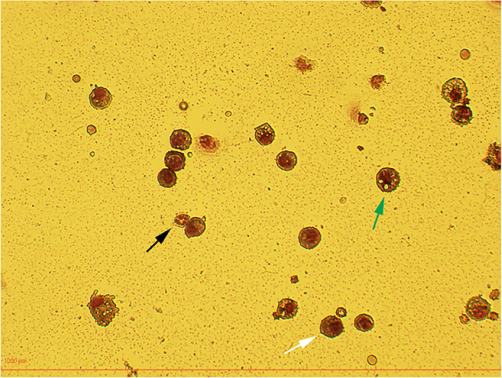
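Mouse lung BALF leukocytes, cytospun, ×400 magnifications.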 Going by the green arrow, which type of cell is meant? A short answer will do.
Macrophages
